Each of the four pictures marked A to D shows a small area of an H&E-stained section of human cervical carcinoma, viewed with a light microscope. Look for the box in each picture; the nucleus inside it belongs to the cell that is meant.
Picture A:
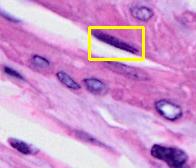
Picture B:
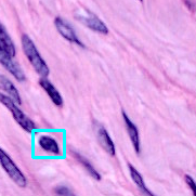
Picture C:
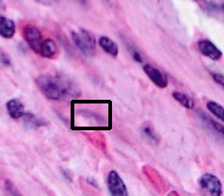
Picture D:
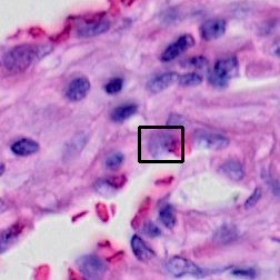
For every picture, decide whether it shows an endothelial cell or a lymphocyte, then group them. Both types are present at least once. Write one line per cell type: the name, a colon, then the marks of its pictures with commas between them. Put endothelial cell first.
endothelial cell: A, C, D
lymphocyte: B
